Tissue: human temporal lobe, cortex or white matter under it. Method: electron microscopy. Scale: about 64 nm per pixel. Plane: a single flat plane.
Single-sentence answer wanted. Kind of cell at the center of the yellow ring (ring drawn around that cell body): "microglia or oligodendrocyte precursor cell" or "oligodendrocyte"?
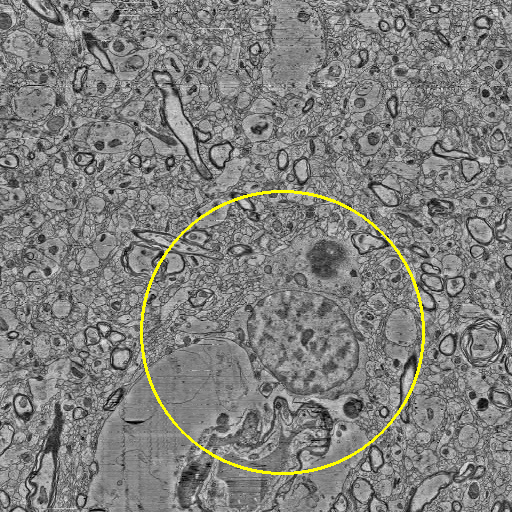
The cell centered in the ring is an oligodendrocyte.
